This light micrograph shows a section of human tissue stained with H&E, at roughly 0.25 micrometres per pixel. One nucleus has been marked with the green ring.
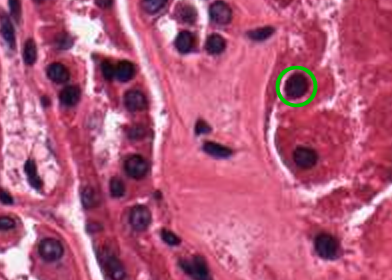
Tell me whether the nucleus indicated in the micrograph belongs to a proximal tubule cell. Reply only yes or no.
yes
